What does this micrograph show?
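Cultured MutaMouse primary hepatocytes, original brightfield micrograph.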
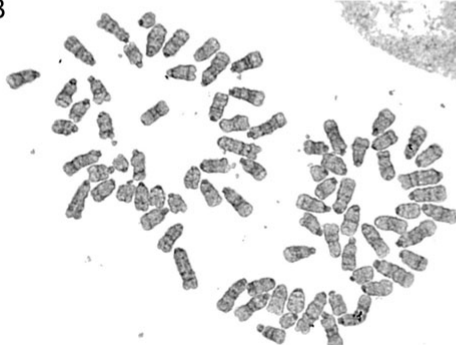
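This is a metaphase spread of many condensed chromosomes scattered on a pale background, loosely gathered into two roughly circular clusters. The chromosomes are grey rod shapes of different lengths, all with their constriction at one end, and they show faint cross banding. A few show small dark specks. In the upper right corner lies part of a faintly textured interphase nucleus.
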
